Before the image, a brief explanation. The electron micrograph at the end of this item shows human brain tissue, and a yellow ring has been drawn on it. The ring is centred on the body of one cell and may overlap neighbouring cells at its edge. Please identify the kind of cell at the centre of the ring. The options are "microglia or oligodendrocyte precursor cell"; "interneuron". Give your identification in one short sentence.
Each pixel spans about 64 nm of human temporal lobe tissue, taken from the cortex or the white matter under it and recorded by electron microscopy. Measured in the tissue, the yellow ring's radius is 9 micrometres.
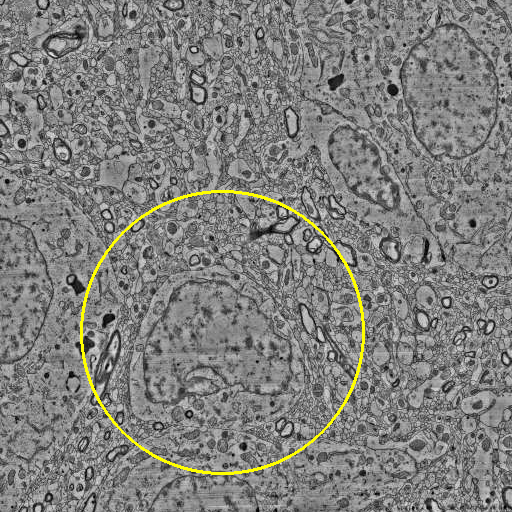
The ring has been placed around an interneuron.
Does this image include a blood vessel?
No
